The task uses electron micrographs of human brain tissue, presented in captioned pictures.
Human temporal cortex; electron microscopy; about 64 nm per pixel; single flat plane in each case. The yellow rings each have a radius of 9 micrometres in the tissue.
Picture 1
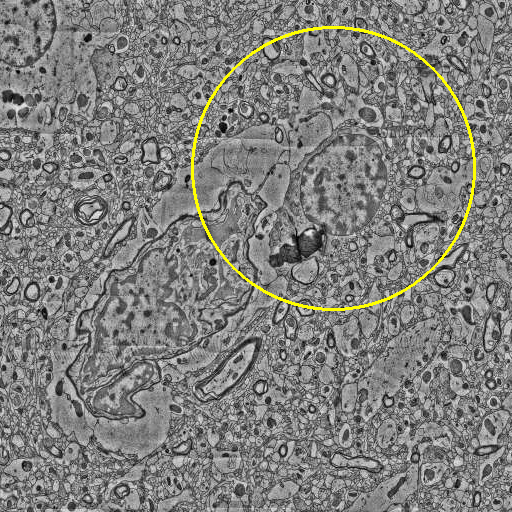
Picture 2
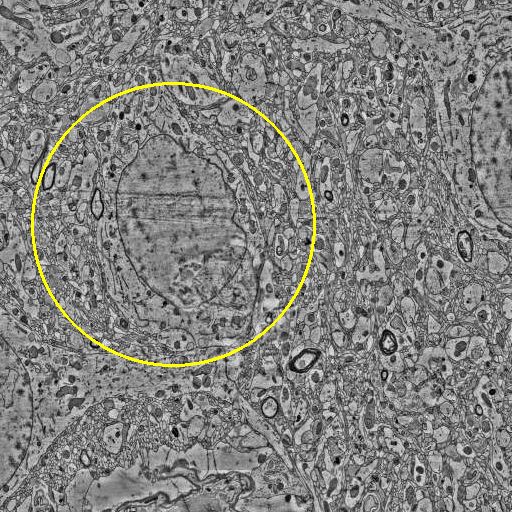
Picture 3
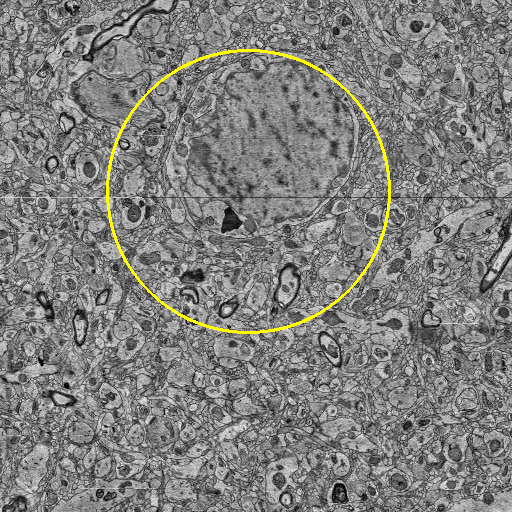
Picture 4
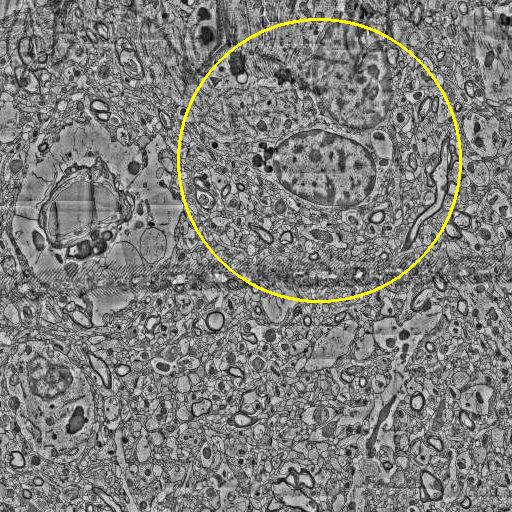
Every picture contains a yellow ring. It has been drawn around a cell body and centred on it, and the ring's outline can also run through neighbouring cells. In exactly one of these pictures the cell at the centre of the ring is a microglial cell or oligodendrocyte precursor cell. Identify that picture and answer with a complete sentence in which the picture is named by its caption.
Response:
The ring in Picture 4 is centred on that kind of cell.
